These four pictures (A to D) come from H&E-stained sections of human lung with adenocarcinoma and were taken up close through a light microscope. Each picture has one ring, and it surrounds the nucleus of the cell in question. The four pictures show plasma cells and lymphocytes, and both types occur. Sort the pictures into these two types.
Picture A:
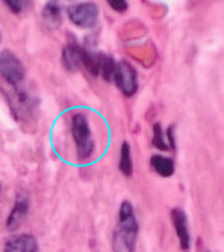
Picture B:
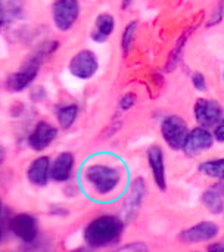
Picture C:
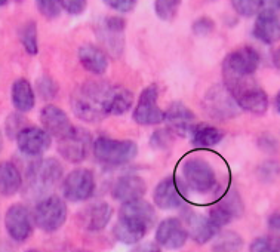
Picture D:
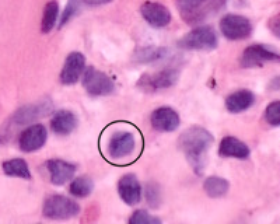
A: plasma cell
B: lymphocyte
C: lymphocyte
D: lymphocyte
